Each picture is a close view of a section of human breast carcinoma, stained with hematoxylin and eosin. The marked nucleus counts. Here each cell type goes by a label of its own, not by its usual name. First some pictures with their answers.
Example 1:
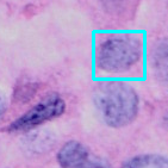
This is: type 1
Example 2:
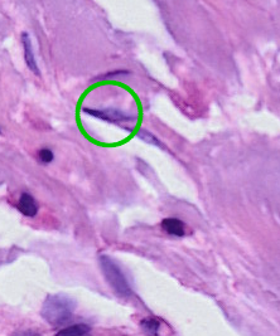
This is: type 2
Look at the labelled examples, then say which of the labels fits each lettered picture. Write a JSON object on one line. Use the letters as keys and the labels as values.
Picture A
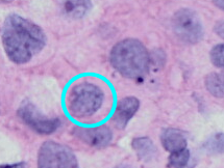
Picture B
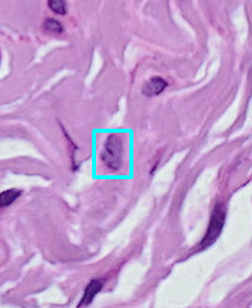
{"A": "type 1", "B": "type 2"}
